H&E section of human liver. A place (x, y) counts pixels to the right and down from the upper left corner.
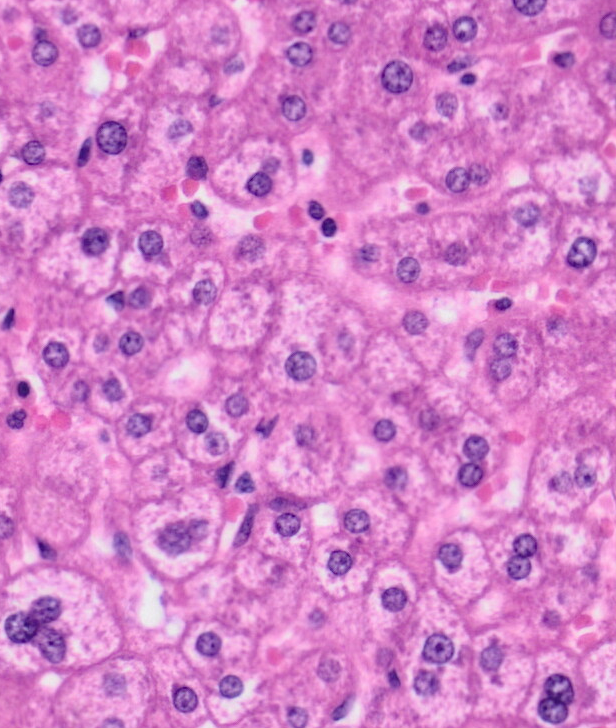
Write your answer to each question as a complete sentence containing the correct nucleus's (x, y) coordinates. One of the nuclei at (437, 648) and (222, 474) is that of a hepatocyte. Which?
Between the pair, the nucleus at (437, 648) belongs to a hepatocyte.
